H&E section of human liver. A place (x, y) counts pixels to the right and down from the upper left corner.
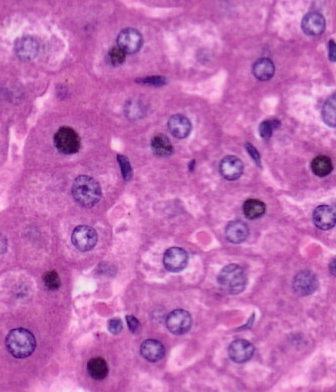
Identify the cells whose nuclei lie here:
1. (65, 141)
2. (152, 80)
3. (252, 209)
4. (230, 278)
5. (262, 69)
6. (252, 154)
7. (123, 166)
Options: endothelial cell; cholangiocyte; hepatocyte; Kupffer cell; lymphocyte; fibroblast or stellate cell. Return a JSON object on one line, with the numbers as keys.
{"1": "hepatocyte", "2": "fibroblast or stellate cell", "3": "hepatocyte", "4": "hepatocyte", "5": "hepatocyte", "6": "fibroblast or stellate cell", "7": "fibroblast or stellate cell"}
